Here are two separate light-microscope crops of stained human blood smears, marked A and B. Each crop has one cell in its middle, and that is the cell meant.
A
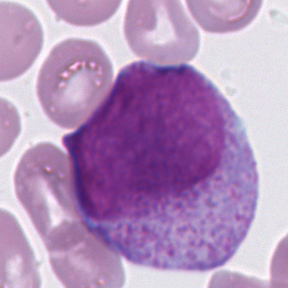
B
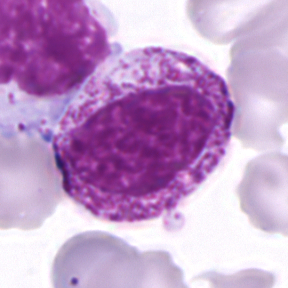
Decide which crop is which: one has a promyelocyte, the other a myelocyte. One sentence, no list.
For crop A the cell is a promyelocyte, and for crop B it is a myelocyte.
